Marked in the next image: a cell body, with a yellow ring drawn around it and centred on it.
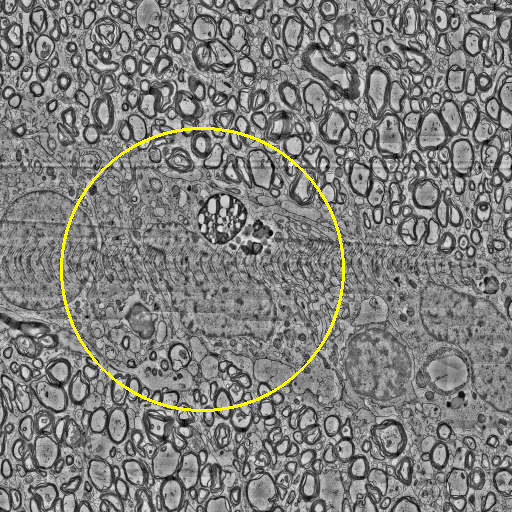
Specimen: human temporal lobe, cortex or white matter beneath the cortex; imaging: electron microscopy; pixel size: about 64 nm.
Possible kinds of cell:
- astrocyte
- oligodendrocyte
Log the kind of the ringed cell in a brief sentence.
The ringed cell body is that of an astrocyte.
